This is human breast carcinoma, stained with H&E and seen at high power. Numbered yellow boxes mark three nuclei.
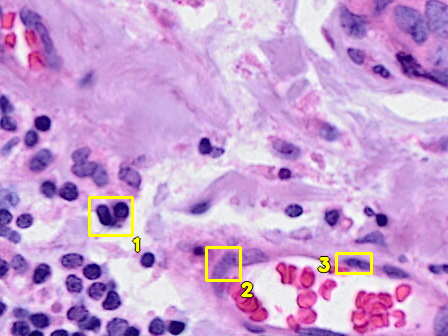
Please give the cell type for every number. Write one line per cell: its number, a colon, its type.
1: lymphocyte
2: endothelial cell
3: endothelial cell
